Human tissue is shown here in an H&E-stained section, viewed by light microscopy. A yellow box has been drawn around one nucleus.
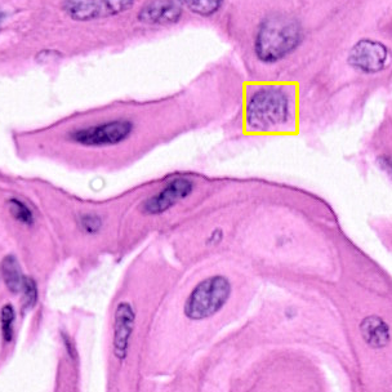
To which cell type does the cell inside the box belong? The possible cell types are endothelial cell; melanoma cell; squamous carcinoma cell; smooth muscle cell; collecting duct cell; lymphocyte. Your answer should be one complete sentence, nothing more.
Cell type answer for this item: the cell inside the box is a squamous carcinoma cell.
